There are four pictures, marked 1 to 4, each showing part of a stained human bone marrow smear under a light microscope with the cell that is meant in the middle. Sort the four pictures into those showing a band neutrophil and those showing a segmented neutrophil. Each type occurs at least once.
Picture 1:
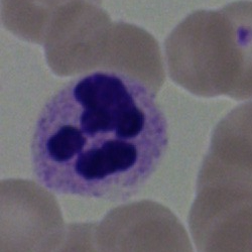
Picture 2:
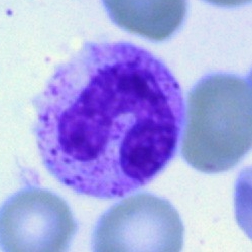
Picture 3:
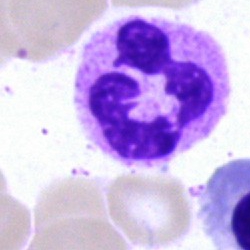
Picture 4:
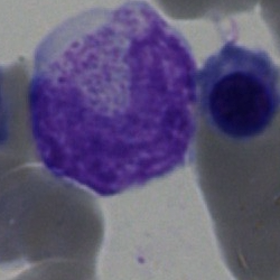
1: segmented neutrophil
2: band neutrophil
3: segmented neutrophil
4: band neutrophil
